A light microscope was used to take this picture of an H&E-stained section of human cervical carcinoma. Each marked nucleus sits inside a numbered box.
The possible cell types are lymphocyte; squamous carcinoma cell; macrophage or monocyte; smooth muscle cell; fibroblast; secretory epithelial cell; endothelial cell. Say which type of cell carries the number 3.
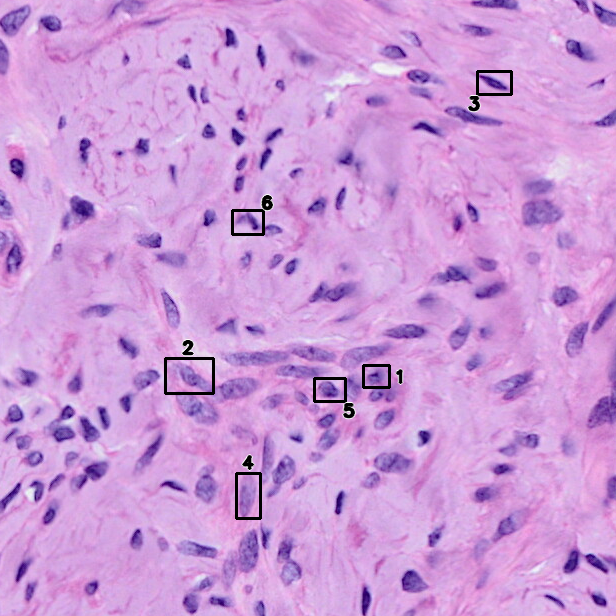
fibroblast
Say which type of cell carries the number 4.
smooth muscle cell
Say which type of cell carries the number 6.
fibroblast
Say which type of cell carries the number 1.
smooth muscle cell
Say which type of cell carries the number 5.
smooth muscle cell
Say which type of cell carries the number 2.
smooth muscle cell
